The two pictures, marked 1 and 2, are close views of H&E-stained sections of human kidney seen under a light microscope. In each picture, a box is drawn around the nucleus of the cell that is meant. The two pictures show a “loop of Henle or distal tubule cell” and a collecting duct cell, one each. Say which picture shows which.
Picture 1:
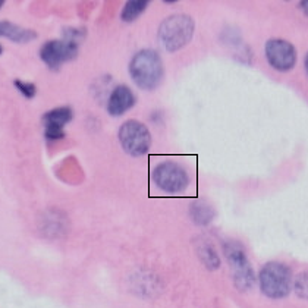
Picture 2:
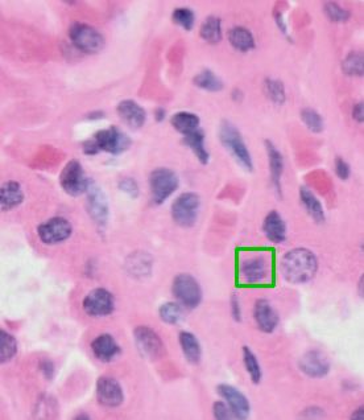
1: collecting duct cell
2: loop of Henle or distal tubule cell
